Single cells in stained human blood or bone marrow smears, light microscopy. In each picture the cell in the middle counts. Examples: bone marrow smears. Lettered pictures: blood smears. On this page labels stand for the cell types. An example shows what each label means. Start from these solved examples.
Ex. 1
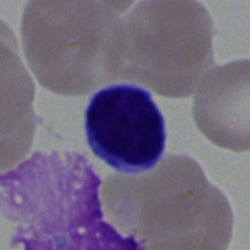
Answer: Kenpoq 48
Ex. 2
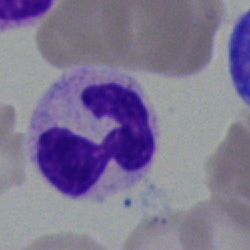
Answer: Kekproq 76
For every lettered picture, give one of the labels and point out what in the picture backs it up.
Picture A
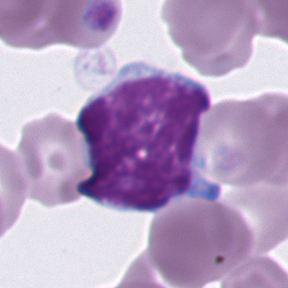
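Kenpoq 48. The cytoplasm is a scant pale-blue rim around the nucleus.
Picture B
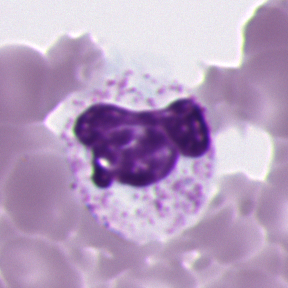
Kekproq 76. The cytoplasm is plentiful and very pale, almost colourless.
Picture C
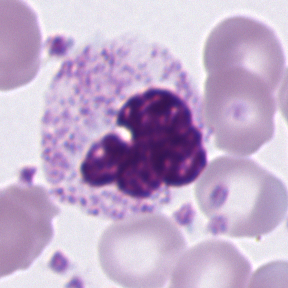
Kekproq 76. The cytoplasm is plentiful and very pale.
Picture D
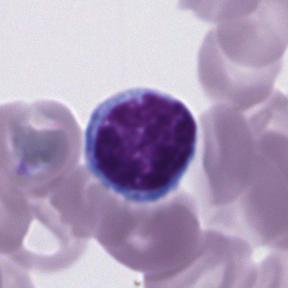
Kenpoq 48. The cytoplasm forms a thin blue rim around the nucleus.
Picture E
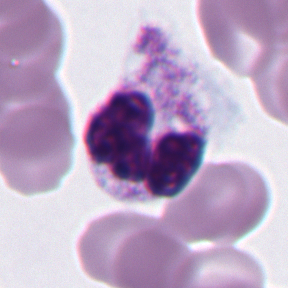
Kekproq 76. The cytoplasm between the granules is pale and nearly colourless.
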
